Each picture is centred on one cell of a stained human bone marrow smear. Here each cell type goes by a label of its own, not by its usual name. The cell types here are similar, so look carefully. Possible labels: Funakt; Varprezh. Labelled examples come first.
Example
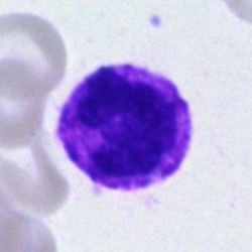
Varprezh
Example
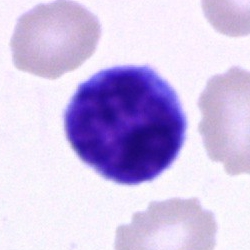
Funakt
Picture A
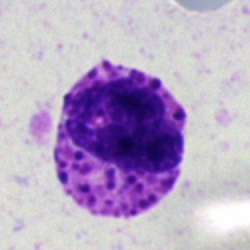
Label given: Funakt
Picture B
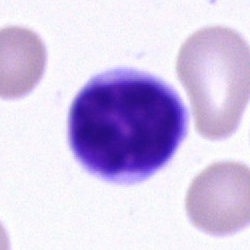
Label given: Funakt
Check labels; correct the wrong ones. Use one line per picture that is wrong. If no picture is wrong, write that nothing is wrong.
A: Varprezh, not Funakt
